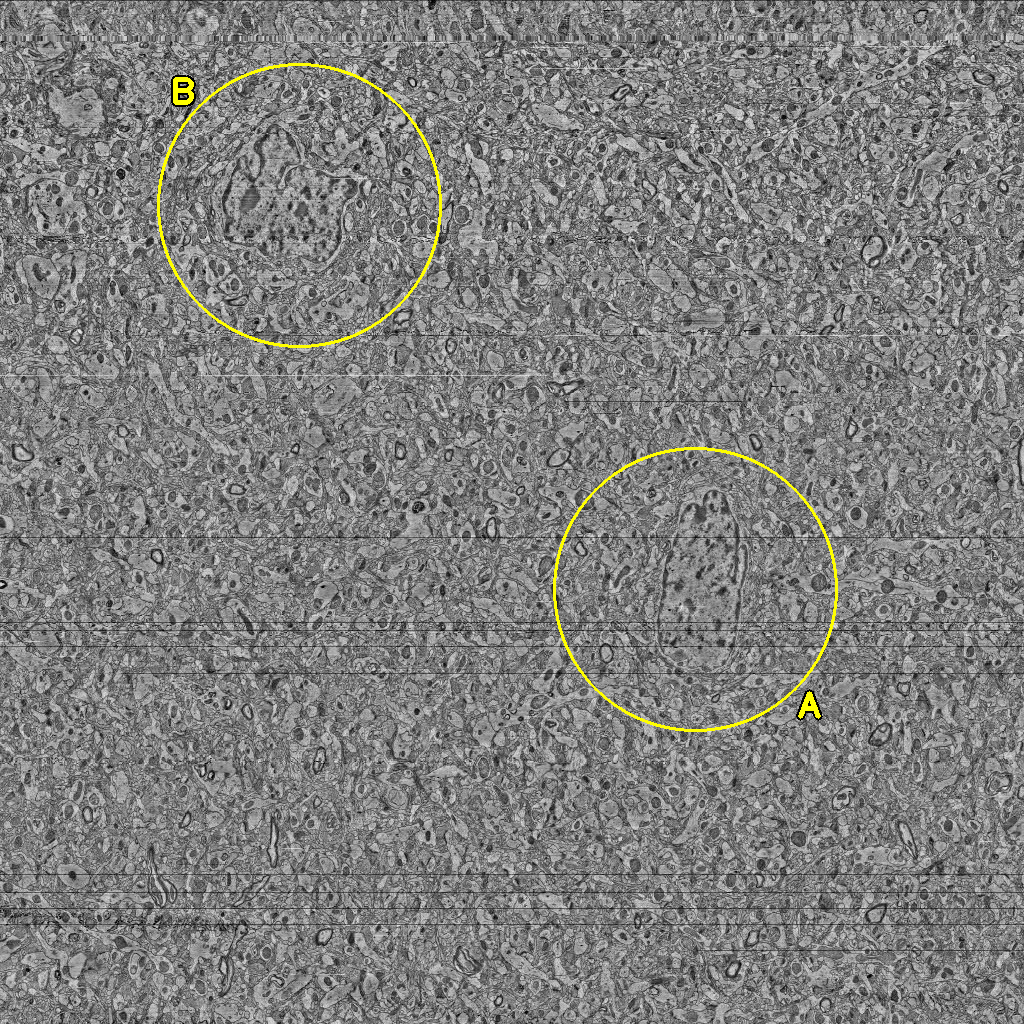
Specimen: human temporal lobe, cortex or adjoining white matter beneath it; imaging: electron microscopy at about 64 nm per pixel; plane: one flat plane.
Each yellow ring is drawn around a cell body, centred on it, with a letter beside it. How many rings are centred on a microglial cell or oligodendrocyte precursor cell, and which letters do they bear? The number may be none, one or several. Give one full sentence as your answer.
The two rings tagged with the letters A and B are each centred on a microglial cell or oligodendrocyte precursor cell.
